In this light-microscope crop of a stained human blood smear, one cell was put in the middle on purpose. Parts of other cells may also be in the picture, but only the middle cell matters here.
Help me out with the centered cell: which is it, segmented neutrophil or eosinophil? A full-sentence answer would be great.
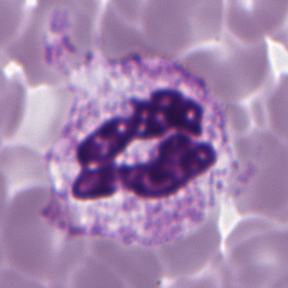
At the middle of the frame sits a segmented neutrophil.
